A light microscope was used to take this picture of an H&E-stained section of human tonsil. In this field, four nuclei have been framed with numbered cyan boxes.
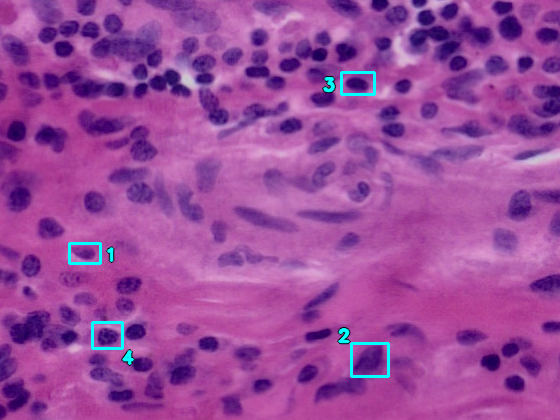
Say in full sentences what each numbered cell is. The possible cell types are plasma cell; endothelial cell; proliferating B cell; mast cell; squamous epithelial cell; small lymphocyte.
Cell 1 is a mast cell, cell 2 is an endothelial cell, cell 3 is a mast cell and cell 4 is a plasma cell.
